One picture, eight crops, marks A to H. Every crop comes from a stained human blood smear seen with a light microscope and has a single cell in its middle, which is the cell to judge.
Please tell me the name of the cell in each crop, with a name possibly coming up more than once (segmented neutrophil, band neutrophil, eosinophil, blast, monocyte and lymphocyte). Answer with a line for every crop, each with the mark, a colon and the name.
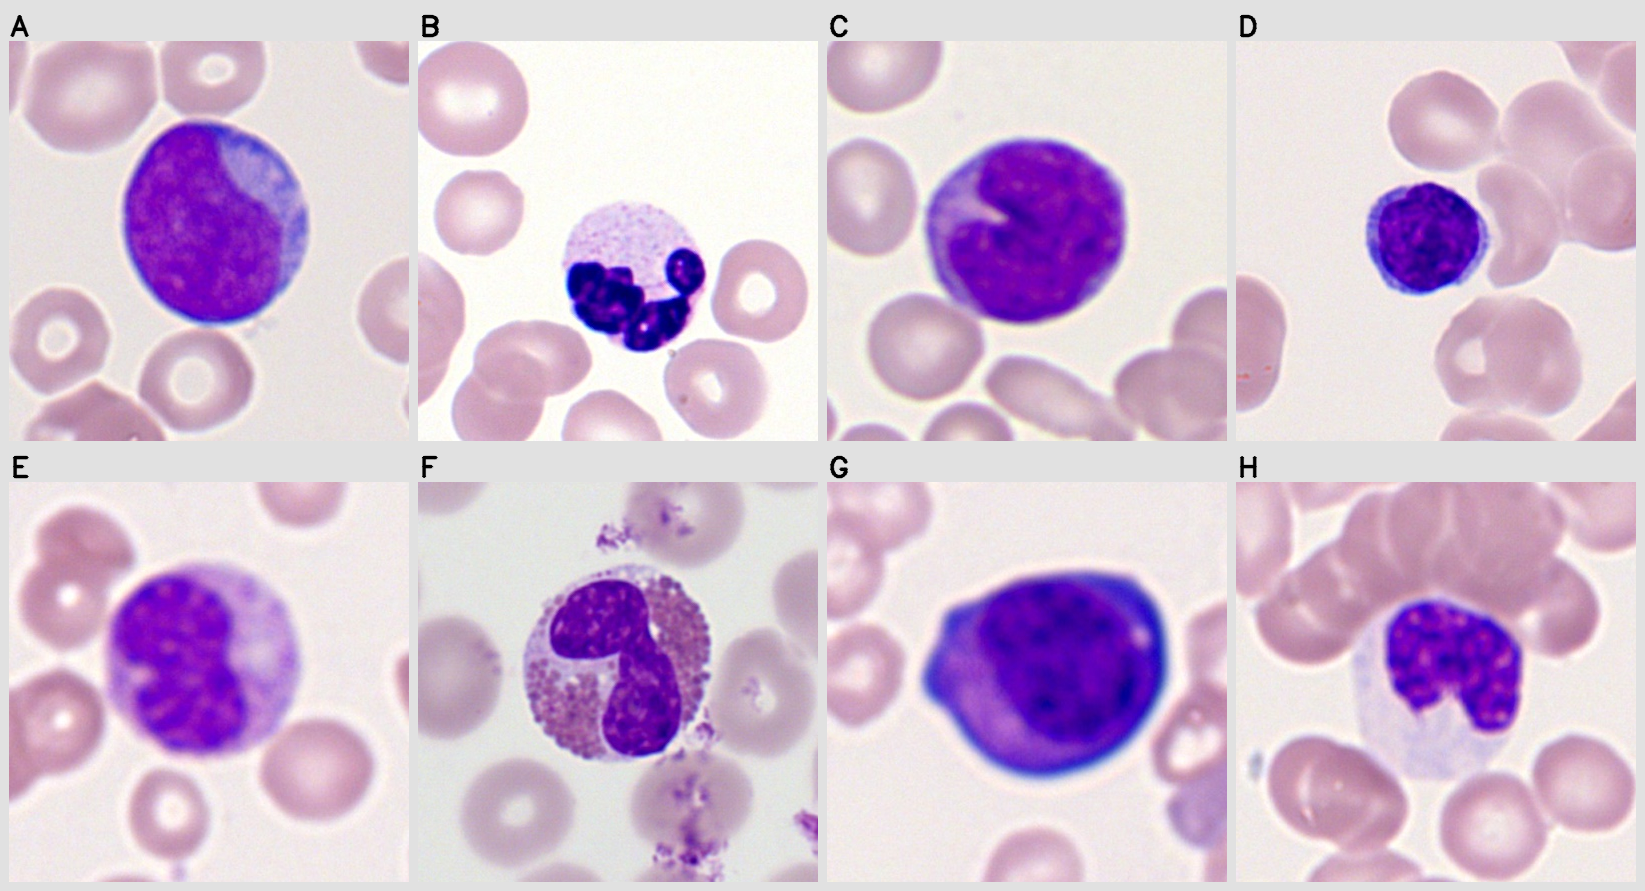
A: blast
B: segmented neutrophil
C: blast
D: lymphocyte
E: band neutrophil
F: eosinophil
G: blast
H: band neutrophil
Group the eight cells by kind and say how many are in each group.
blast: 3
band neutrophil: 2
segmented neutrophil: 1
lymphocyte: 1
eosinophil: 1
